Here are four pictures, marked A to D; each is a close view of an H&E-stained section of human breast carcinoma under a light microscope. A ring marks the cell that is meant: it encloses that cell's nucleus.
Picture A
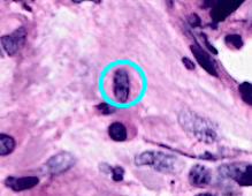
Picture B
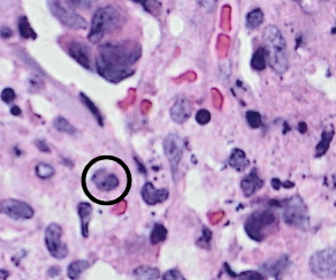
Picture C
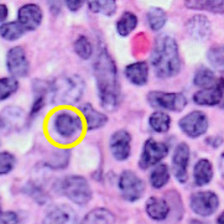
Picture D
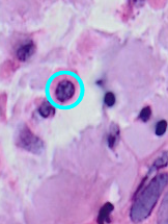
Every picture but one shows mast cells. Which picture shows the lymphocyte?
C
